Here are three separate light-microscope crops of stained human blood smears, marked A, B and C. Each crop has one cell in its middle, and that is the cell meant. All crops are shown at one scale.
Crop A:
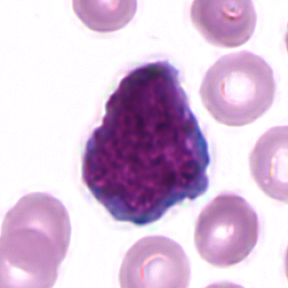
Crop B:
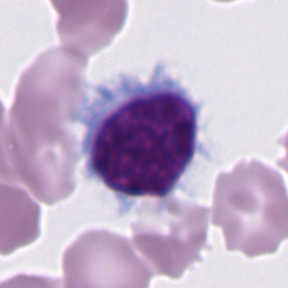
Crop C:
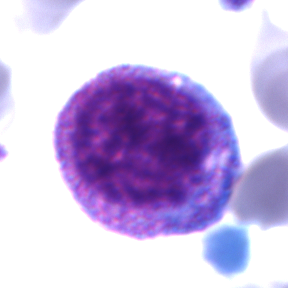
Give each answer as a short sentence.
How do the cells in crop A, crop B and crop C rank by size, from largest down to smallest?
Going down, they run C, A, B.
